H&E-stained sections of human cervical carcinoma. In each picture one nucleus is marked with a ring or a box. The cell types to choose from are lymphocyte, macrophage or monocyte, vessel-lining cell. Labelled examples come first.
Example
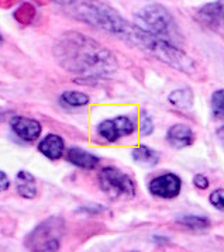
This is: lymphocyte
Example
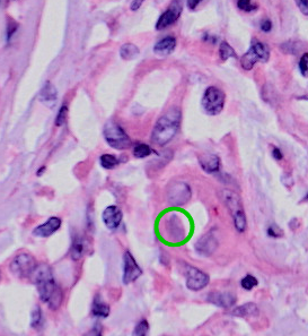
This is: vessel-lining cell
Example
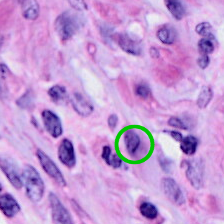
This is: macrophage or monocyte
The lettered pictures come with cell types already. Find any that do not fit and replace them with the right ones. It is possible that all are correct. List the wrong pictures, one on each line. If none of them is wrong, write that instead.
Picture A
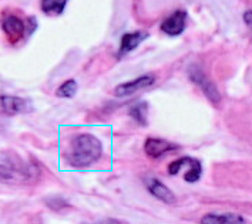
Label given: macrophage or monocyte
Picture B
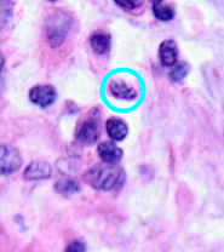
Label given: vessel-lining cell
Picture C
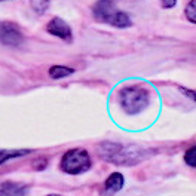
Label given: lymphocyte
B: change vessel-lining cell to lymphocyte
